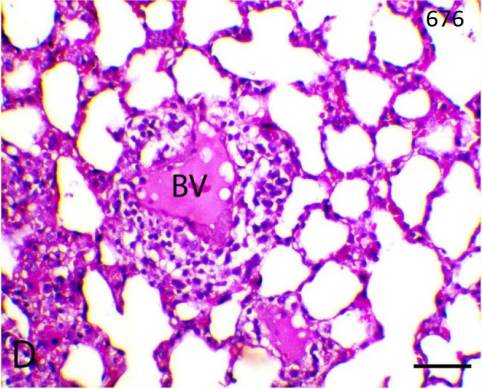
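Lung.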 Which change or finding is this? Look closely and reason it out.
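Perivascular inflammatory cells infiltration. A dense cuff of small round nucleated cells surrounds the labelled vessel. The surrounding alveoli remain mostly open.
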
